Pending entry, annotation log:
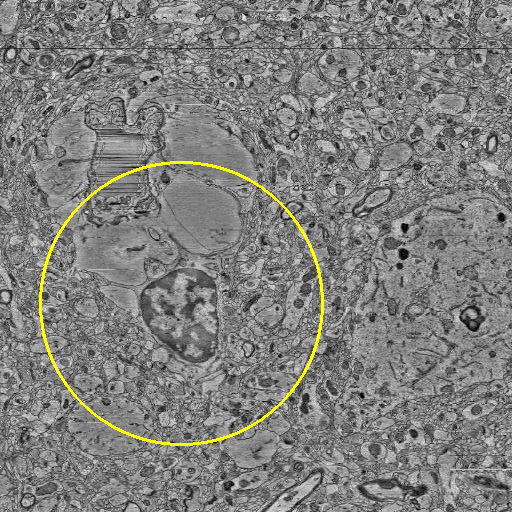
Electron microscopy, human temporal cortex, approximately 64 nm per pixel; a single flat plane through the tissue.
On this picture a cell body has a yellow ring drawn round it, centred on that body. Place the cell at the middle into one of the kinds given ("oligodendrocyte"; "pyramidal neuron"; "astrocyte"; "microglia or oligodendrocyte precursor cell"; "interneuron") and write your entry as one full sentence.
The cell body at the middle of the yellow ring belongs to a microglial cell or oligodendrocyte precursor cell.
